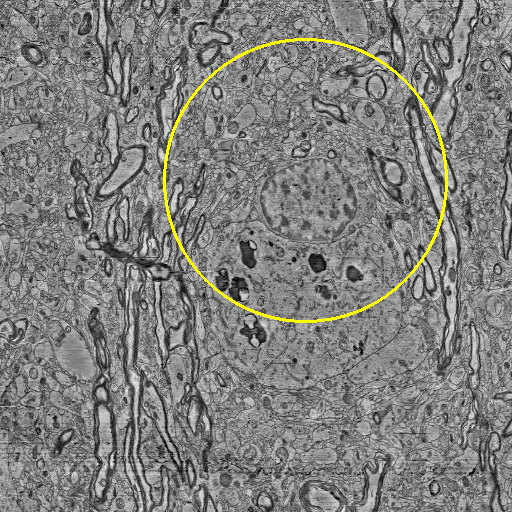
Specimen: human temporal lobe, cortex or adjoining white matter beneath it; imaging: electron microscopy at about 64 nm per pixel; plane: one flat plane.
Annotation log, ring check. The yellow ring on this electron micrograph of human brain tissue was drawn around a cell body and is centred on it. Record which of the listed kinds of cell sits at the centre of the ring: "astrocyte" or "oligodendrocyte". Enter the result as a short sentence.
The cell at the centre of the ring is an oligodendrocyte.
